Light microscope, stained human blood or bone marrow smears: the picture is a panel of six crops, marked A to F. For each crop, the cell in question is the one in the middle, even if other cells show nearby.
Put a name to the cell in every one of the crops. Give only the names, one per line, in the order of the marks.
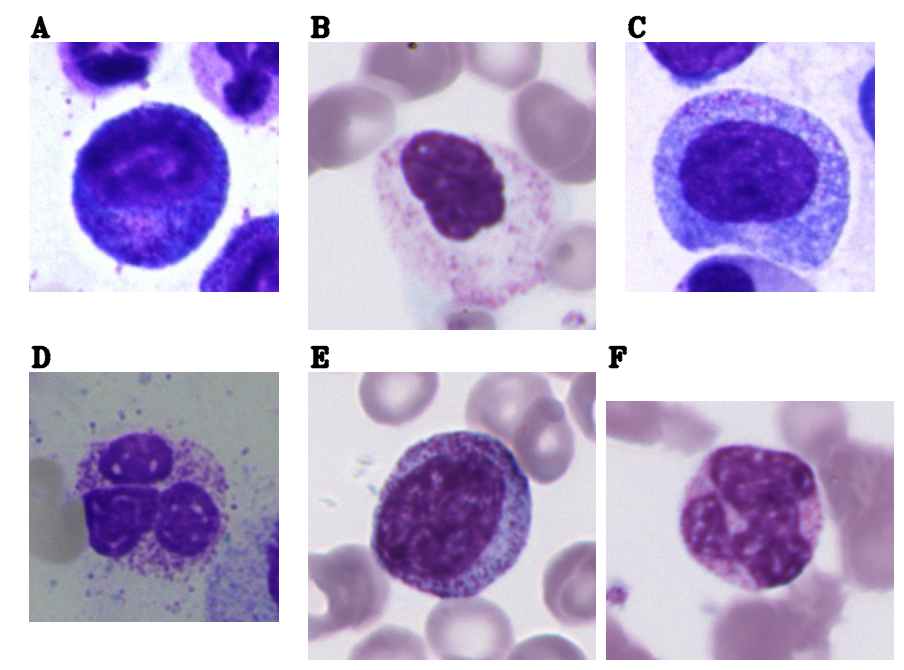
promyelocyte
segmented neutrophil
promyelocyte
segmented neutrophil
promyelocyte
segmented neutrophil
